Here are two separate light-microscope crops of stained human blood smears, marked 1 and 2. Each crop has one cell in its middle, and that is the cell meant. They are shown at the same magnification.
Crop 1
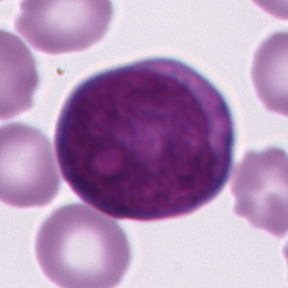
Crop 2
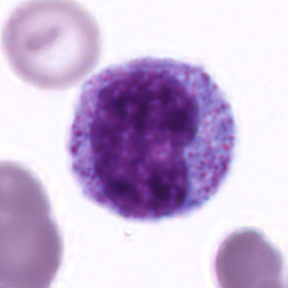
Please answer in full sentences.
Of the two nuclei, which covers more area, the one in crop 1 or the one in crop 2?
Crop 1 shows the larger nucleus; it covers about 1.5 times the area of the nucleus in crop 2.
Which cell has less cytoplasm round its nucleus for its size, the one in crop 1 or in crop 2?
Of the two, the nucleus in crop 1 makes up the greater part of its cell.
